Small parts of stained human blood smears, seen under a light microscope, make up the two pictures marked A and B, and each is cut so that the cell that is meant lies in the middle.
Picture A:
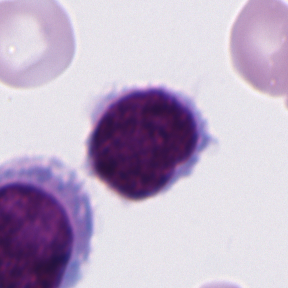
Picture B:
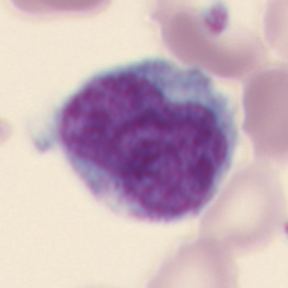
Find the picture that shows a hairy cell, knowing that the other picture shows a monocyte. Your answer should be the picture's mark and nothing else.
A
